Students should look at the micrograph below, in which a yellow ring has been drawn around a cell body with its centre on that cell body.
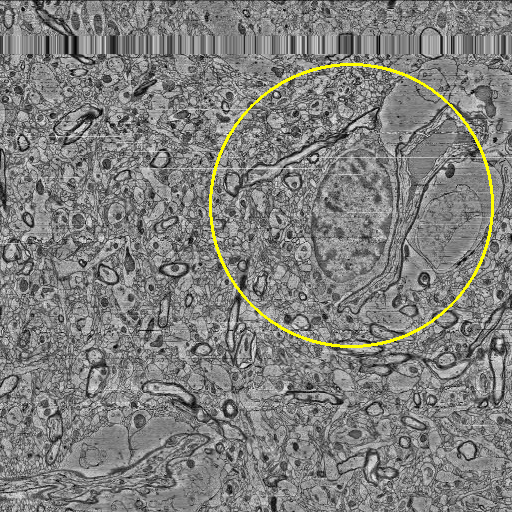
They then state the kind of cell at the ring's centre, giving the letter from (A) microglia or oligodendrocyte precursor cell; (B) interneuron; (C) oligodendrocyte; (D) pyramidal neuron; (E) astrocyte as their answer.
C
